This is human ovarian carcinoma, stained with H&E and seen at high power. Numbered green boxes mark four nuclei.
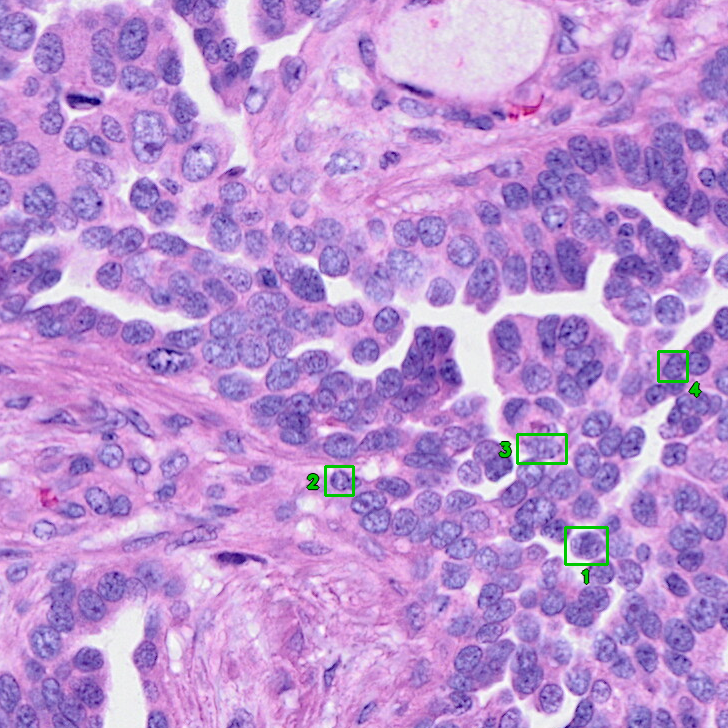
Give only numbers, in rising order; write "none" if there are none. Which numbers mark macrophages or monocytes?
2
